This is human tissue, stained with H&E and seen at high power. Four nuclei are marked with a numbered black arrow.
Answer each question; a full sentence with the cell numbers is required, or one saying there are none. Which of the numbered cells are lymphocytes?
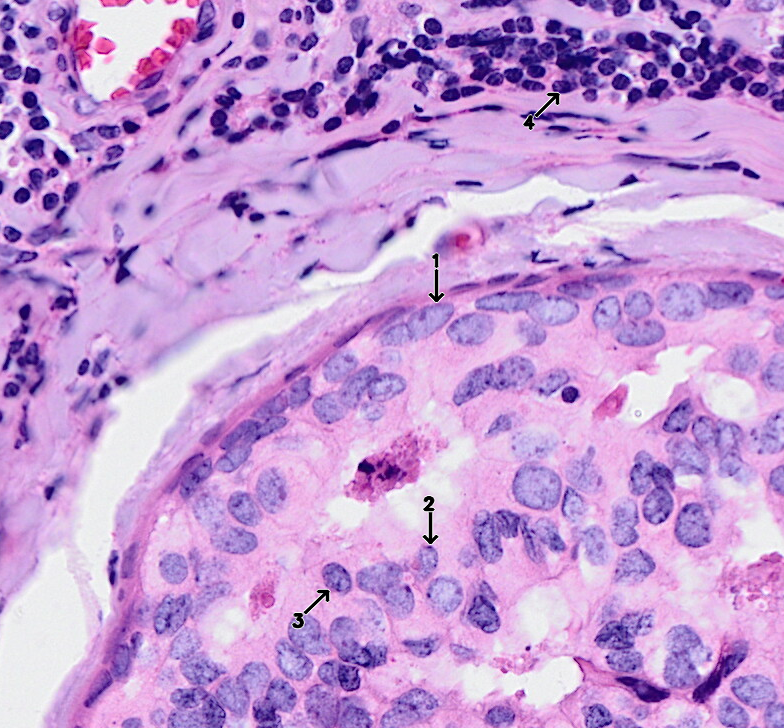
The cell marked by number 4 is a lymphocyte; the other marked cells are not.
